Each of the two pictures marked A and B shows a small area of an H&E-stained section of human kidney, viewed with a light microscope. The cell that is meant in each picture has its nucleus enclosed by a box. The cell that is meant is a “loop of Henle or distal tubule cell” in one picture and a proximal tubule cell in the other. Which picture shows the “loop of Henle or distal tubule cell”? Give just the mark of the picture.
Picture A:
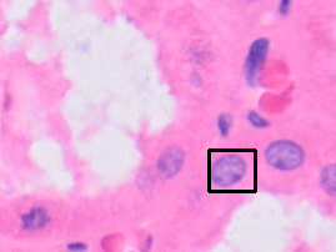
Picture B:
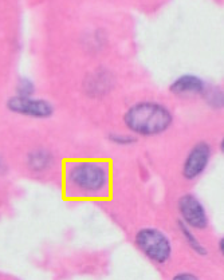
B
